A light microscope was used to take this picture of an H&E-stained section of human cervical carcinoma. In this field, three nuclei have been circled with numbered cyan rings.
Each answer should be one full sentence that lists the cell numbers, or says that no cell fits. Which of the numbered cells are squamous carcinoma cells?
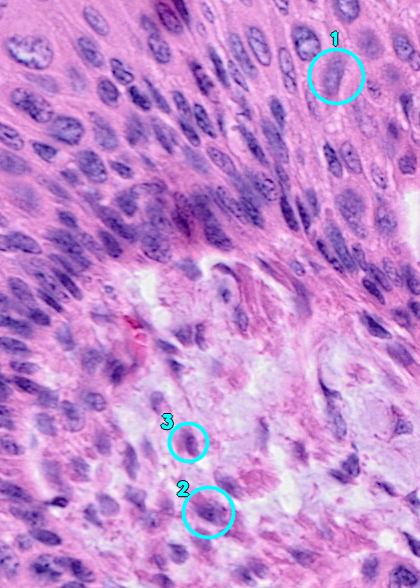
Cell number 1 alone is a squamous carcinoma cell; the rest are not.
